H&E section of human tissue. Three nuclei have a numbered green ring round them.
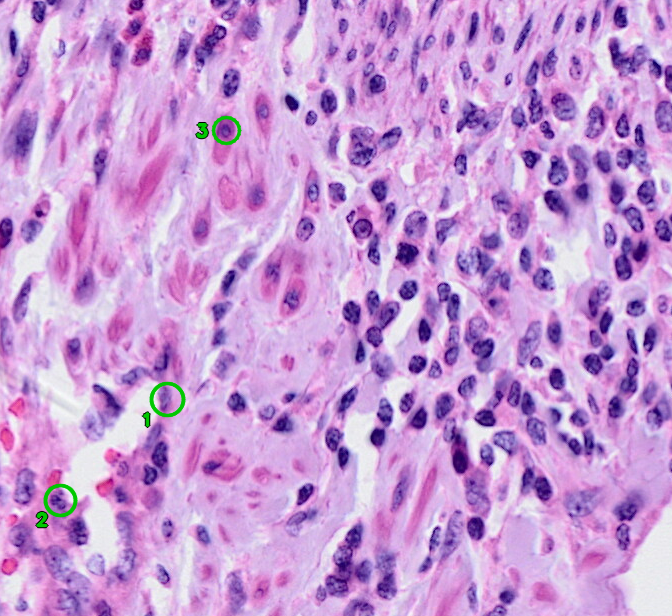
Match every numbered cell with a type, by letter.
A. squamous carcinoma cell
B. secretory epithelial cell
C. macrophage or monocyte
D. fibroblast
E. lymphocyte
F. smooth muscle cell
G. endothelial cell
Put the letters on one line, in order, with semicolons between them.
G; G; F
